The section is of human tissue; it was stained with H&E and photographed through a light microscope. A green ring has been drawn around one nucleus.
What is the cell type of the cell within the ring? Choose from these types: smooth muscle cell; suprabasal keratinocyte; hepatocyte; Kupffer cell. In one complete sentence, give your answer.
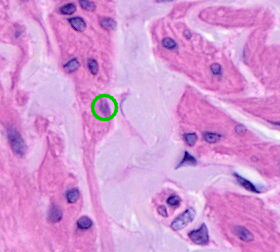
Cytologically, the cell within the ring is to be regarded as a smooth muscle cell.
